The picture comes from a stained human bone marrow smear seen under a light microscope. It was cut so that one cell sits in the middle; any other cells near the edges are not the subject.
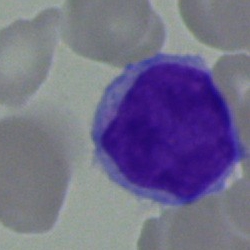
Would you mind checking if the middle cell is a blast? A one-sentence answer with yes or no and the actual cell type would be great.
No, the middle cell is classified as a lymphocyte instead of a blast.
